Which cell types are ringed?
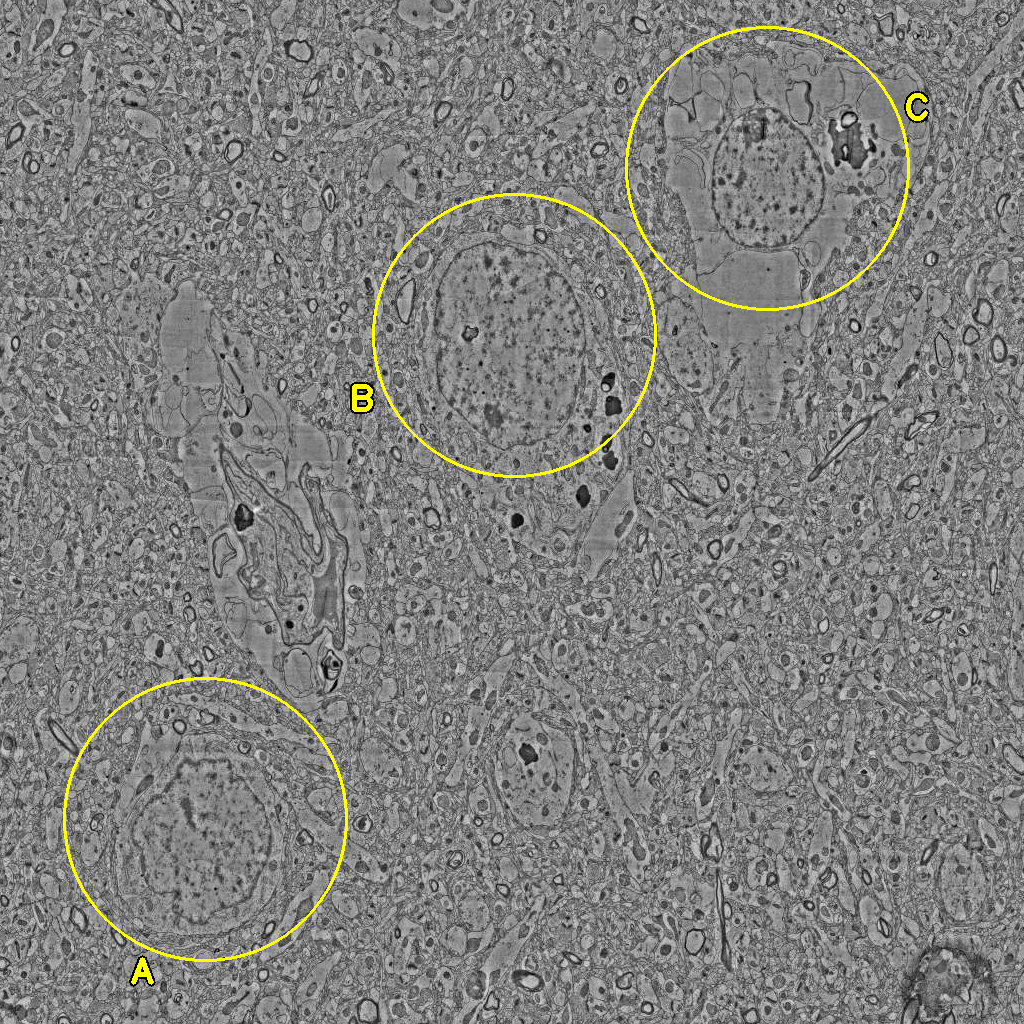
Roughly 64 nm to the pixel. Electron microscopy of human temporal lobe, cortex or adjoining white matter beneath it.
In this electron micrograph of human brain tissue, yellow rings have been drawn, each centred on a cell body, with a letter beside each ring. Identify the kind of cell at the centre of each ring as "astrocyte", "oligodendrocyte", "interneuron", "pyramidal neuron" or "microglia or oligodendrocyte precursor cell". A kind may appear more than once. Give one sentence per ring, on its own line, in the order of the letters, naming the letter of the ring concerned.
Ring A is drawn on an interneuron.
Ring B is drawn on an interneuron.
Ring C is drawn on an astrocyte.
